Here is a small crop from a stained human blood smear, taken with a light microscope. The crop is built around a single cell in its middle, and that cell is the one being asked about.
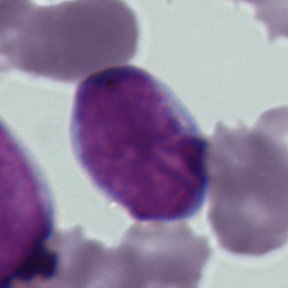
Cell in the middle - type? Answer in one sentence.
At the middle of the frame sits a blast.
